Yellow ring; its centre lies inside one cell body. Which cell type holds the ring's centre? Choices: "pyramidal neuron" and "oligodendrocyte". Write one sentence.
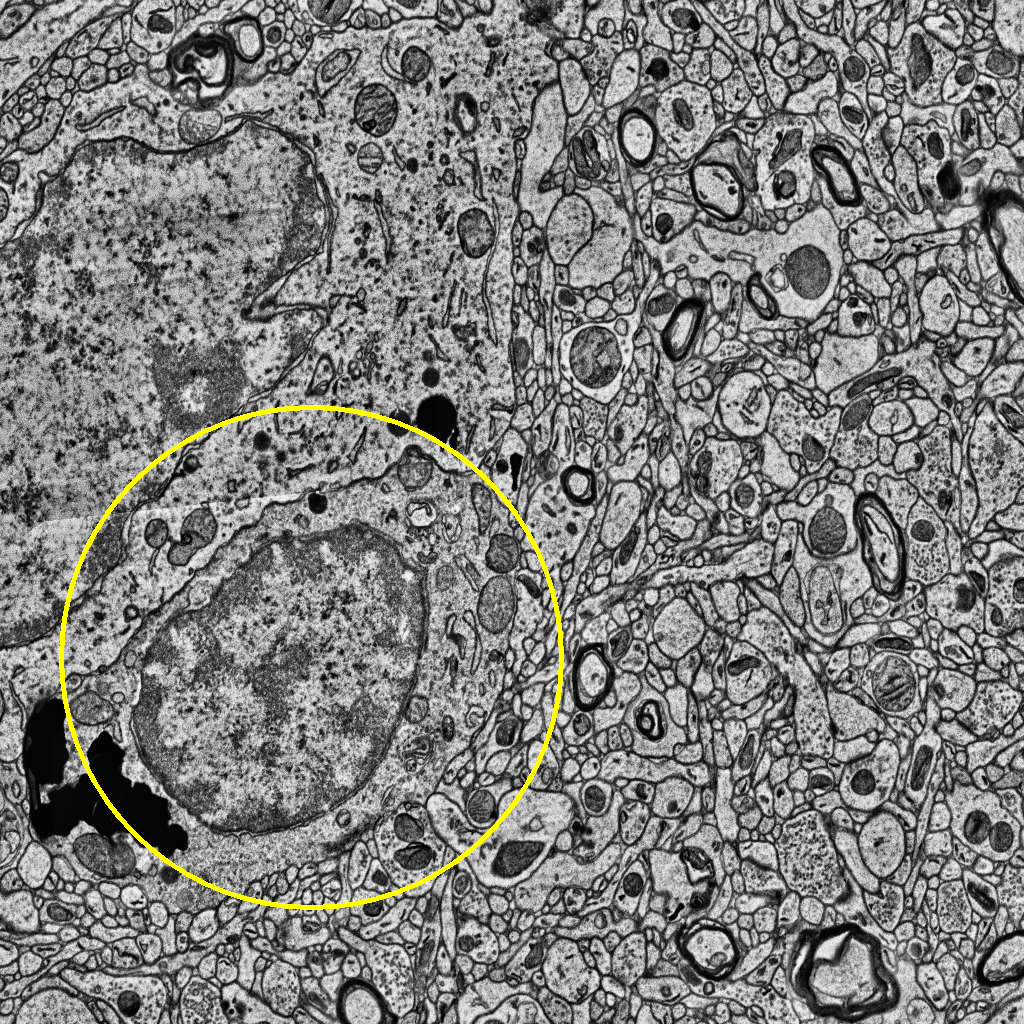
At the centre of the ring sits an oligodendrocyte.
